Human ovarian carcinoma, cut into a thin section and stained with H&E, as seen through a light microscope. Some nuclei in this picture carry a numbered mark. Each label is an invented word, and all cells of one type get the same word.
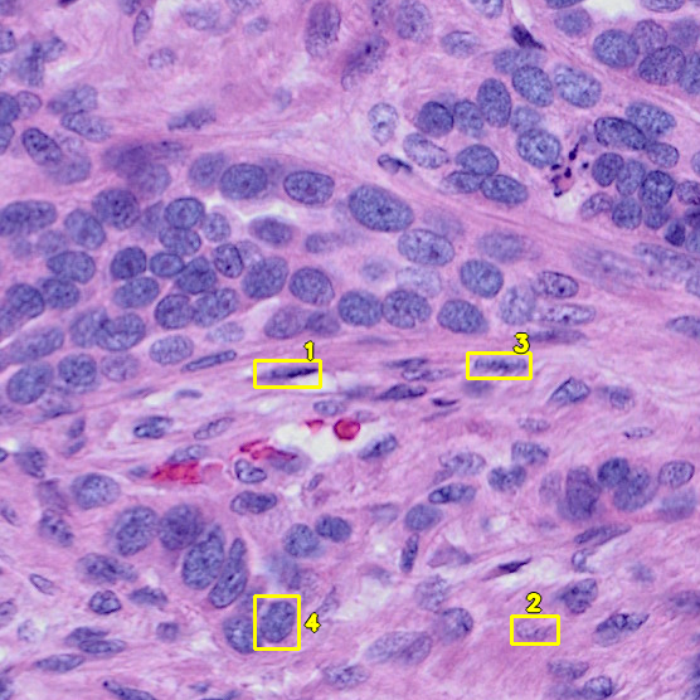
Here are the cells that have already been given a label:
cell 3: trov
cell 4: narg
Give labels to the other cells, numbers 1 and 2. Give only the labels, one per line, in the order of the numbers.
trov
trov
